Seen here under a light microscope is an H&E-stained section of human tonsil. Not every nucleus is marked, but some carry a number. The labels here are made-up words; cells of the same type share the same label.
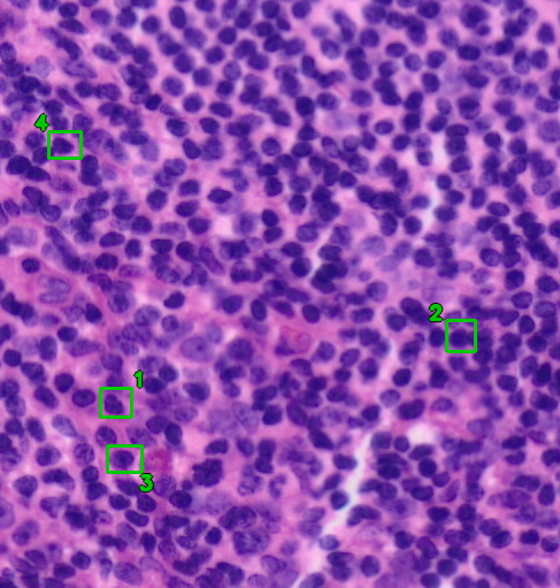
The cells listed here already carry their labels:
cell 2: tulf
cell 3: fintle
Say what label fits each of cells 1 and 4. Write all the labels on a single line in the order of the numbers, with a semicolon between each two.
fintle; tulf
